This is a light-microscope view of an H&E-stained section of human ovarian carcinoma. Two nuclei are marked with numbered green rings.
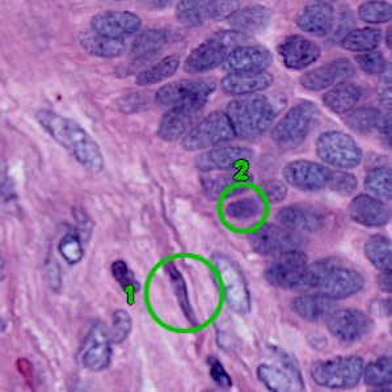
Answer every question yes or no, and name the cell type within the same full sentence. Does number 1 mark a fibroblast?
Yes, the marked cell with number 1 is a fibroblast.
